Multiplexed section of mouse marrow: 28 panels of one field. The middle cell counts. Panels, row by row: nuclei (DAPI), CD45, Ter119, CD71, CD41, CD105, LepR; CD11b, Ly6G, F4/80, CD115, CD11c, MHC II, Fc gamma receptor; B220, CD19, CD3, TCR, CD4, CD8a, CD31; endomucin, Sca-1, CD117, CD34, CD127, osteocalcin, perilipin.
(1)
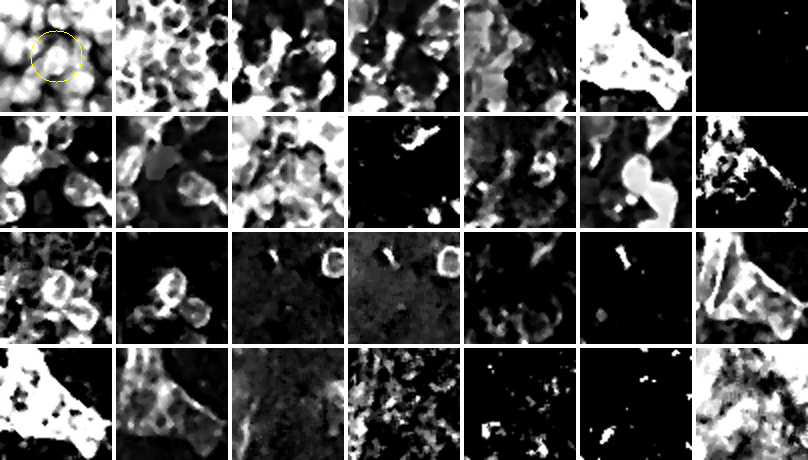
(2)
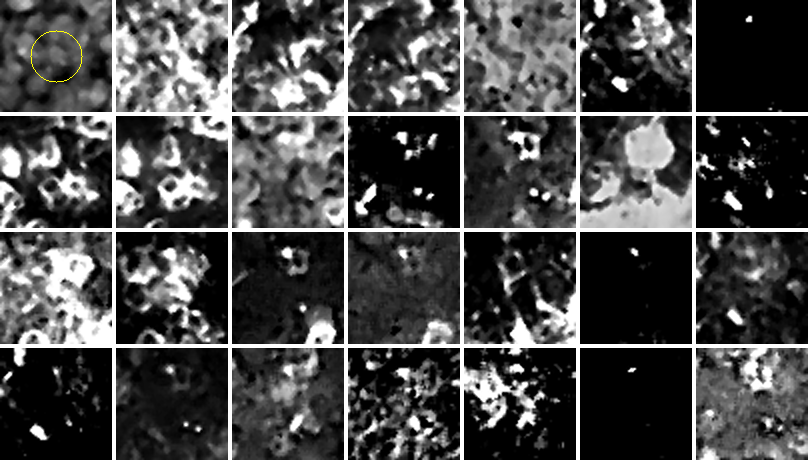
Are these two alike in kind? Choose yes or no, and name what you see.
Yes. B cells.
